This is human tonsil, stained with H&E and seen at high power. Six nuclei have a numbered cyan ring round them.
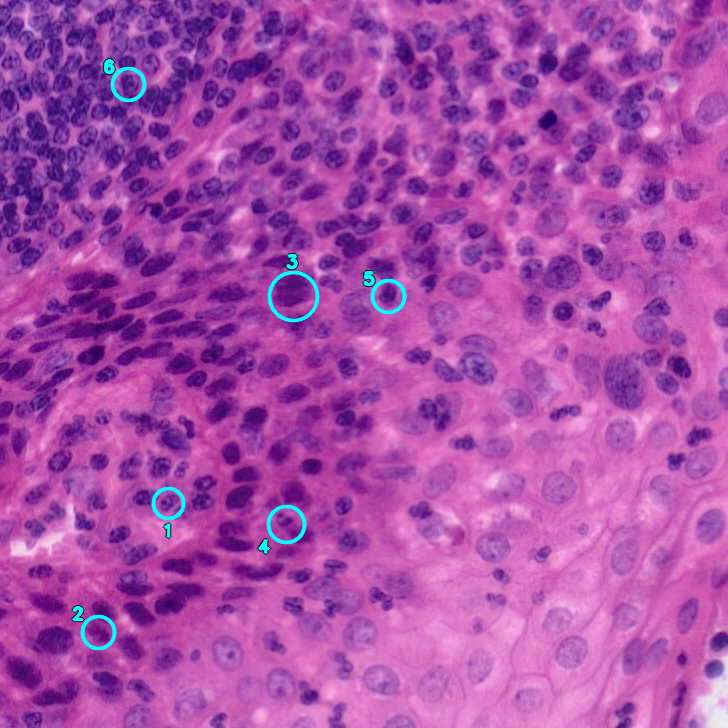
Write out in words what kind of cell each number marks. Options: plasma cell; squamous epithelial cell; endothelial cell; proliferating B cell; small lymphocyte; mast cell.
Cell 1 is a plasma cell. Cells 2, 3, 4 and 5 are squamous epithelial cells. Cell 6 is a small lymphocyte.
